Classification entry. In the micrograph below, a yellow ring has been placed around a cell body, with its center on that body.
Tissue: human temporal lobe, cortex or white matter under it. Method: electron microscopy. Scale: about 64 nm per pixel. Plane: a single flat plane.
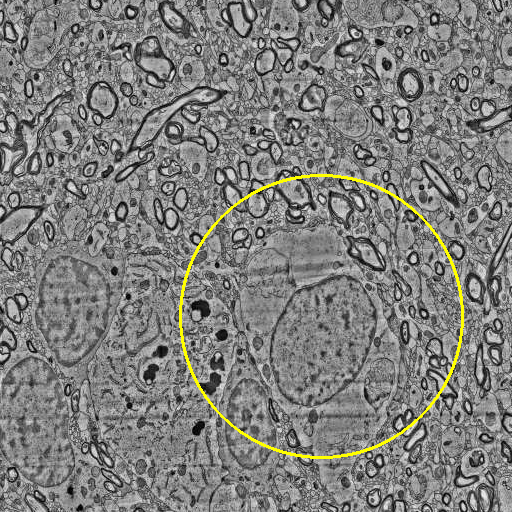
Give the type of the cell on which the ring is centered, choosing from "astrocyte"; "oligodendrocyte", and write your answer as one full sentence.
The cell body at the center of the yellow ring belongs to an astrocyte.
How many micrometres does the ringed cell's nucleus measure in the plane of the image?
Roughly 9 by 6 micrometres is the size of the nucleus in this plane.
